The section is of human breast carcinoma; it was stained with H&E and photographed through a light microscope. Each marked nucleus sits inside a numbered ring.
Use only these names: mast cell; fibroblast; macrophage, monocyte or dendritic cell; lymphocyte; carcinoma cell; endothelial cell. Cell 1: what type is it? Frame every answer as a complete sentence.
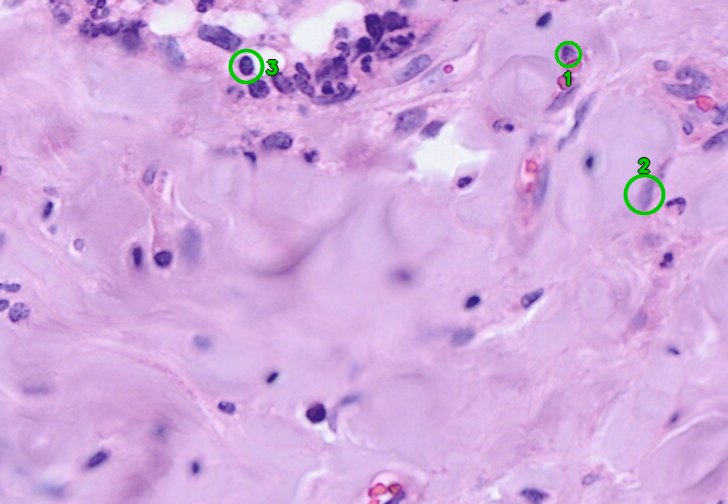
The cell to which the number 1 is assigned is an endothelial cell.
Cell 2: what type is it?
The numeral 2 marks a fibroblast in this section.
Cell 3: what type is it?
The cell that goes by number 3 is a lymphocyte.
